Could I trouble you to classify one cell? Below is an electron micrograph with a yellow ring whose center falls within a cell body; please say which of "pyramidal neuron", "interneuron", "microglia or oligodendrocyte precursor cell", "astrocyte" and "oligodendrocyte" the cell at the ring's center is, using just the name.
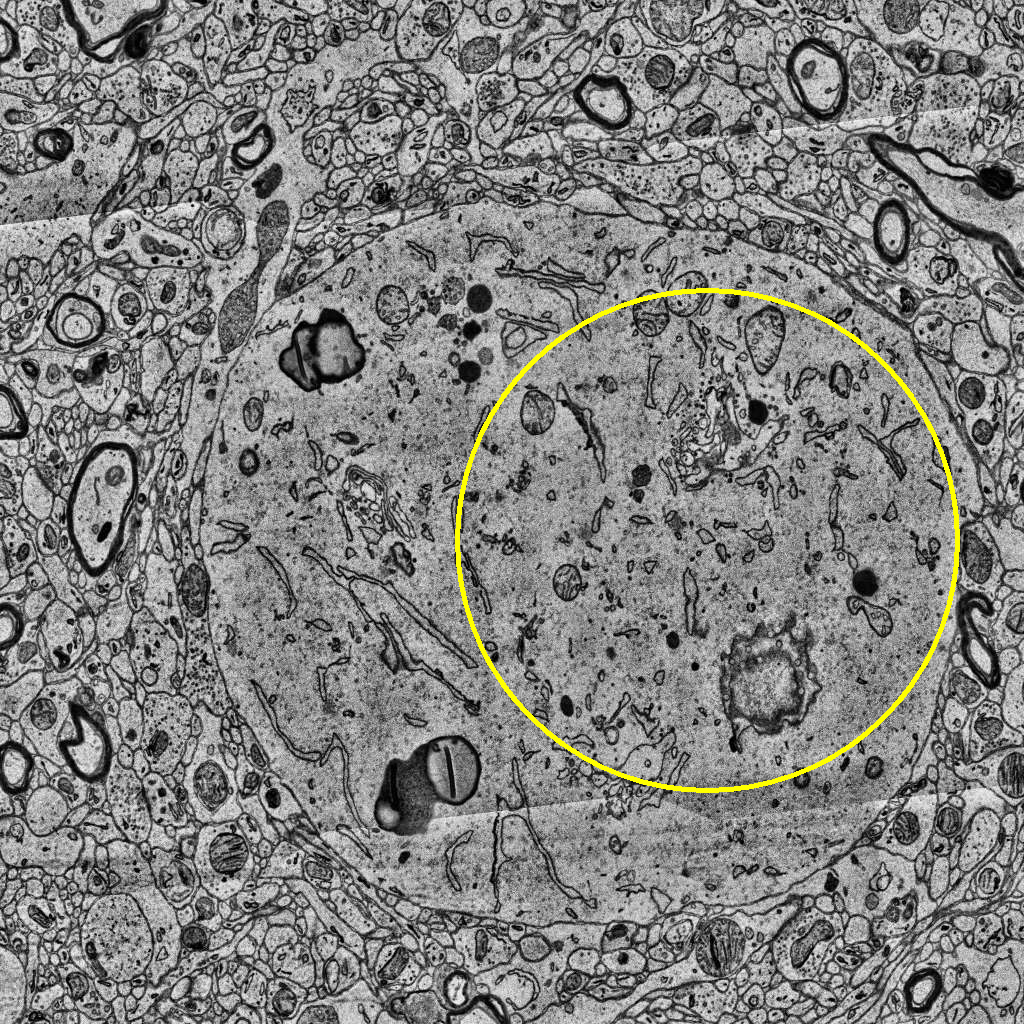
pyramidal neuron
